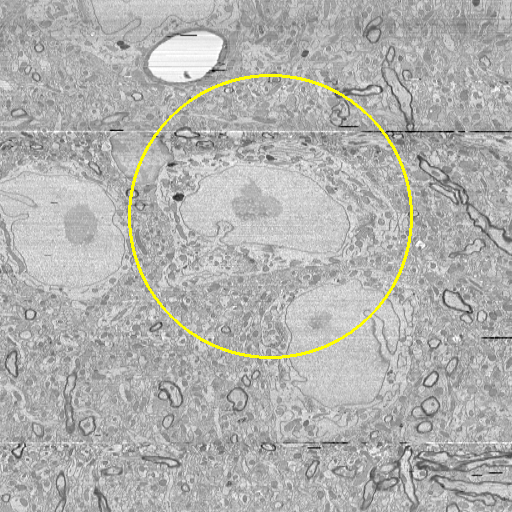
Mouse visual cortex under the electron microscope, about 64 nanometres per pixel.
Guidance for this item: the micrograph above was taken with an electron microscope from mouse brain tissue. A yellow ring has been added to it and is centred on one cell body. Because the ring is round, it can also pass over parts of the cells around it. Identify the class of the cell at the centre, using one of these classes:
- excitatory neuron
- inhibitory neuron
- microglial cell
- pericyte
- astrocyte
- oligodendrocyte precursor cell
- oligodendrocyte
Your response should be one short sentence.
The ring surrounds the body of an inhibitory neuron.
